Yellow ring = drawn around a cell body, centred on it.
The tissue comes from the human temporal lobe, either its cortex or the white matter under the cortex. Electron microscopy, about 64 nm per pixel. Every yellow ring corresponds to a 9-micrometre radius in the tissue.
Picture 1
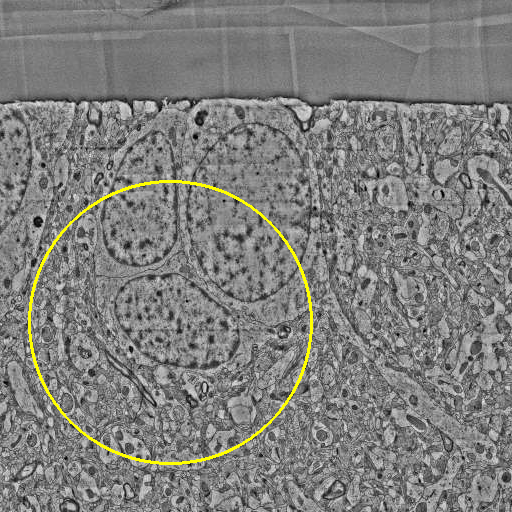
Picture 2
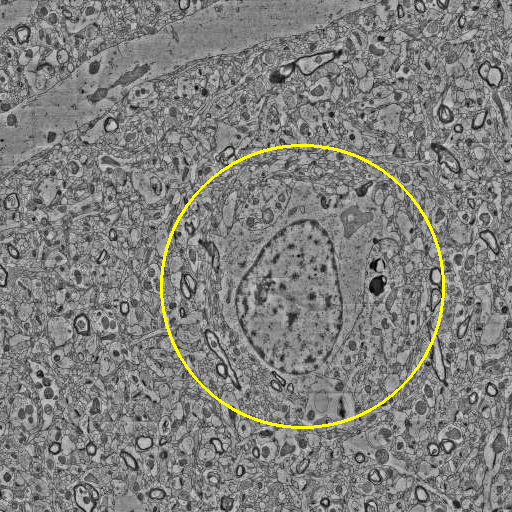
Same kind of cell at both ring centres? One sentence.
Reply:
Yes, they are the same kind of cell.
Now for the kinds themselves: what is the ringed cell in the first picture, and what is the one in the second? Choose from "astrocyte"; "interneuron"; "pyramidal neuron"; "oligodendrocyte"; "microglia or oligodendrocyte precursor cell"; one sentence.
Both cells are the same kind, each one being a microglial cell or oligodendrocyte precursor cell.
